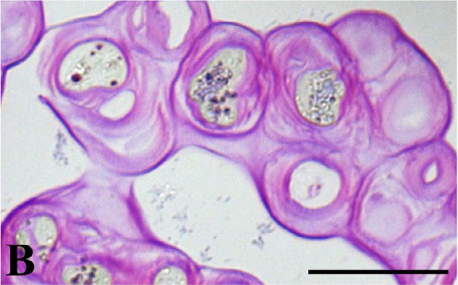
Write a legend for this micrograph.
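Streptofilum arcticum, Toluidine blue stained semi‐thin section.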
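Rounded algal cells lie each within a thick, pink-purple stained envelope built of several concentric layers, the envelopes of neighbouring cells pressed together. The small protoplasts inside contain dark granules in a paler cytoplasm, and some envelopes appear empty or contain only a shrunken remnant.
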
